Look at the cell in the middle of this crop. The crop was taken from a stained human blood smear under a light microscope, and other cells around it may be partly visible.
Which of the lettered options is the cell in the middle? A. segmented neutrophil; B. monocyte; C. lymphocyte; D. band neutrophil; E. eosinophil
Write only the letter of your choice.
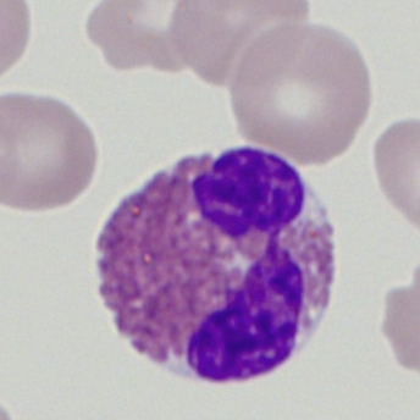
E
